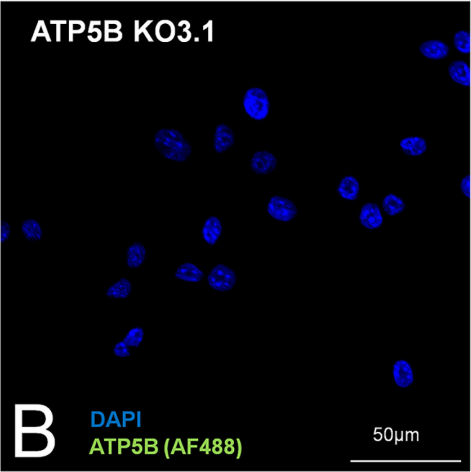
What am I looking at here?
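Cultured cells lie scattered over a dark field, and only their oval to round blue nuclei can be seen. The nuclei show fine mottled texture and some brighter spots within. No green fluorescence is visible in the cytoplasm around them, so the outlines of the cell bodies cannot be made out. Some appear brighter and more compact than others.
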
